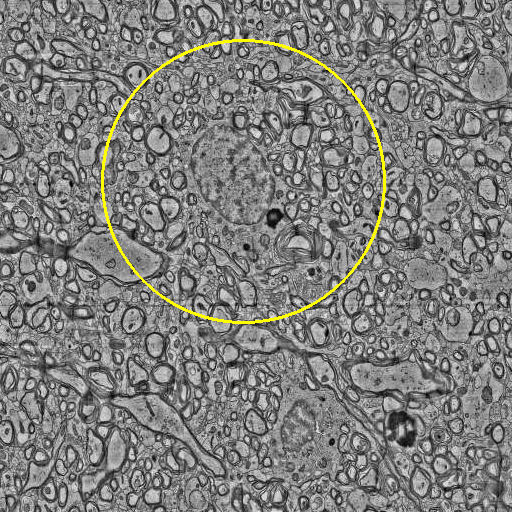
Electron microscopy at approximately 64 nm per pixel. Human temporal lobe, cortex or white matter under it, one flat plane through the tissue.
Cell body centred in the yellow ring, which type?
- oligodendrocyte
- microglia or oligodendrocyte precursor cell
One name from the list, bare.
oligodendrocyte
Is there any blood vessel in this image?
No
